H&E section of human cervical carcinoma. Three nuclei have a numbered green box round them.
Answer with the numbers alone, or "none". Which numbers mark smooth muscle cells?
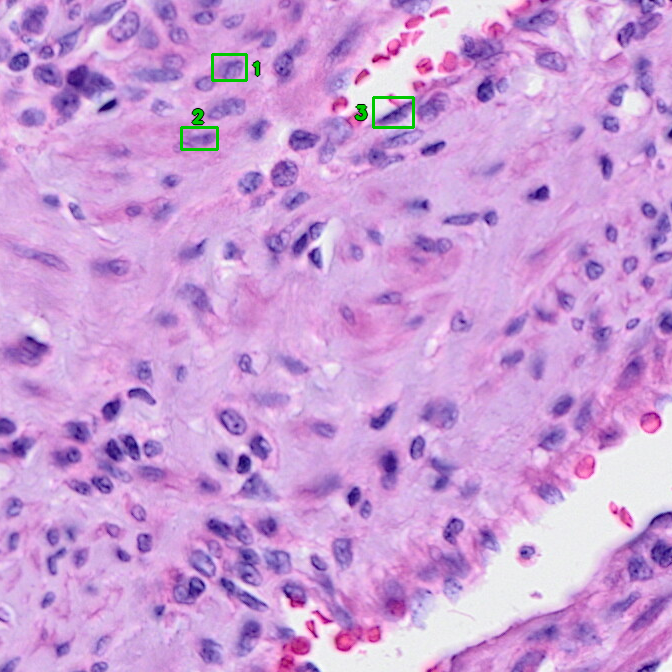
1, 2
